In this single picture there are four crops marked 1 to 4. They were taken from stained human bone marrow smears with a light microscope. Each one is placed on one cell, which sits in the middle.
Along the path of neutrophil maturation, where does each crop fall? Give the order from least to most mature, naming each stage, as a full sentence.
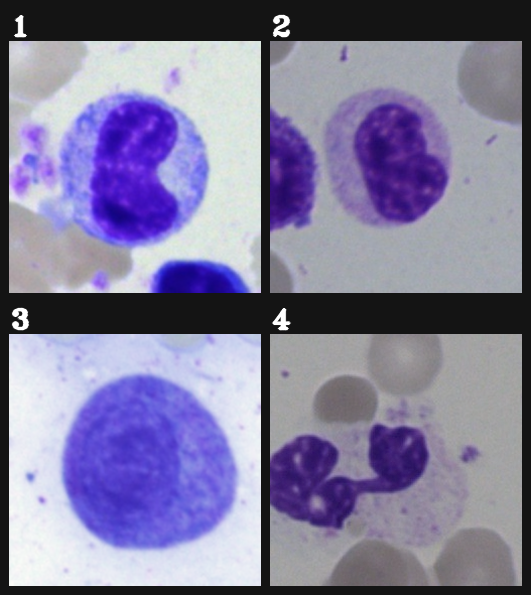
From the least mature to the most mature, the sequence runs crop 3 (a promyelocyte), crop 1 (a metamyelocyte), crop 2 (a band neutrophil) and crop 4 (a segmented neutrophil).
